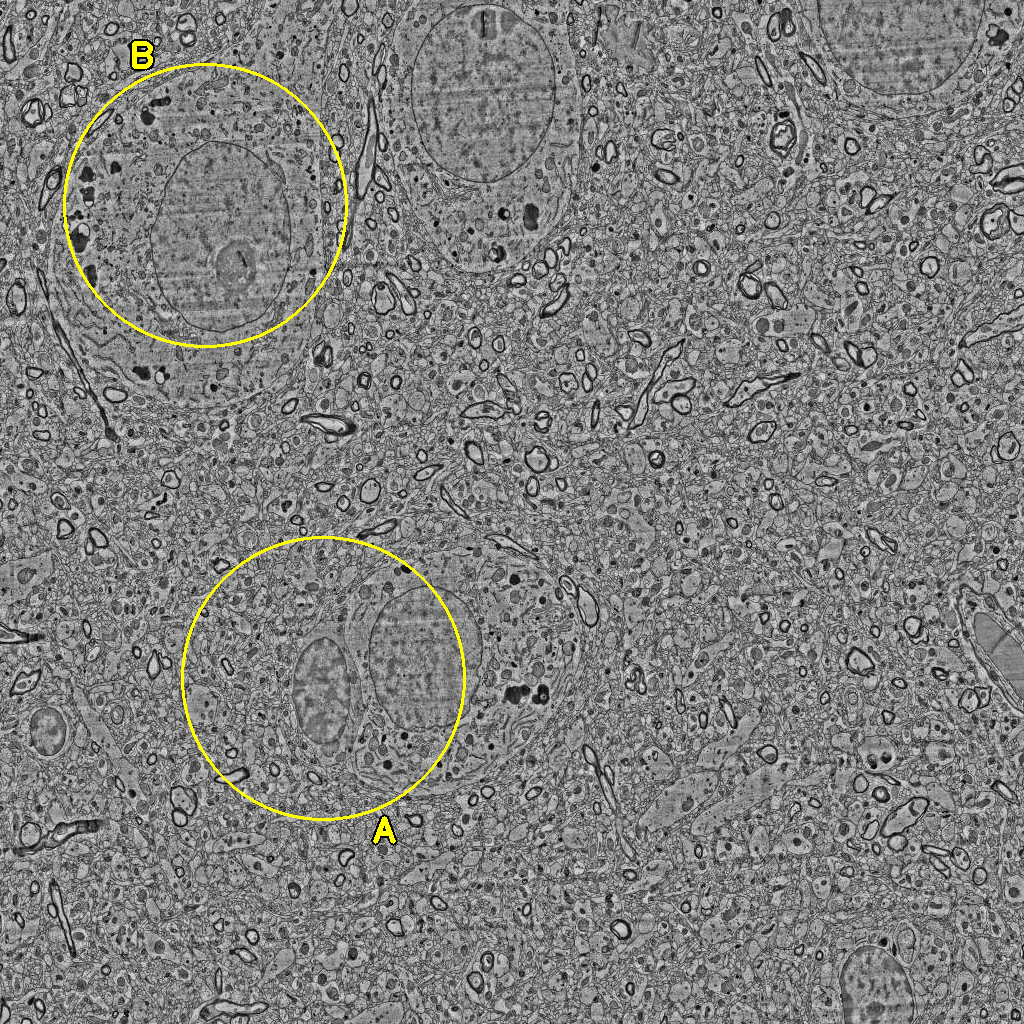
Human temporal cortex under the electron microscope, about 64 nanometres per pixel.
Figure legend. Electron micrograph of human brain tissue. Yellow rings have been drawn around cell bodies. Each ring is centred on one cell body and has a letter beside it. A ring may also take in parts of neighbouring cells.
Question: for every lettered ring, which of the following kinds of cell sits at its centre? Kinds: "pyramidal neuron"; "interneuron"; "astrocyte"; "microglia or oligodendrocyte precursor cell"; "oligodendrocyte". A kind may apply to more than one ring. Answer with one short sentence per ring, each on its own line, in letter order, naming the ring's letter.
Ring A is centred on an oligodendrocyte.
Ring B is centred on a pyramidal neuron.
